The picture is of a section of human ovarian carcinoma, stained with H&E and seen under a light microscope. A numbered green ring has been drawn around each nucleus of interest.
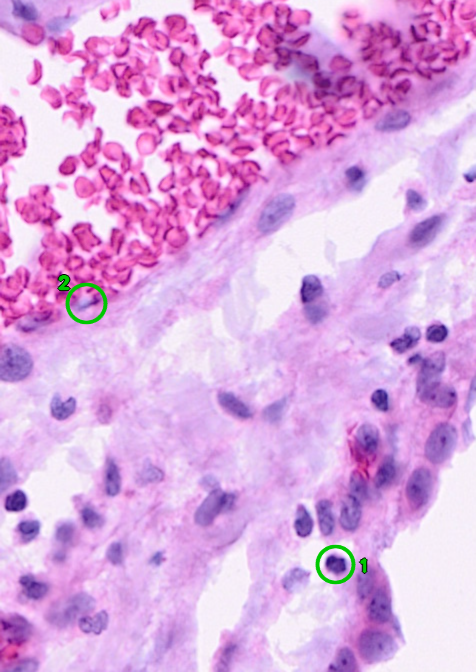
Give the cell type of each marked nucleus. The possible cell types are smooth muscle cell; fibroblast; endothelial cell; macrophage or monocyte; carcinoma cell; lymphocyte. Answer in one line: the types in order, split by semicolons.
lymphocyte; endothelial cell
